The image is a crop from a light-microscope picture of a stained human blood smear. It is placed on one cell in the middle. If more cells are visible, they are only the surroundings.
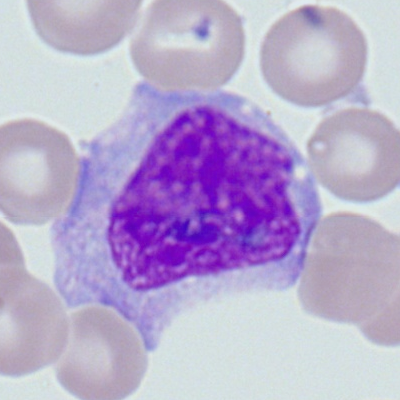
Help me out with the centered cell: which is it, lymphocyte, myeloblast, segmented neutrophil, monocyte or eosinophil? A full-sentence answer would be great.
Occupying the centre of the crop is a monocyte.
